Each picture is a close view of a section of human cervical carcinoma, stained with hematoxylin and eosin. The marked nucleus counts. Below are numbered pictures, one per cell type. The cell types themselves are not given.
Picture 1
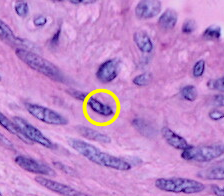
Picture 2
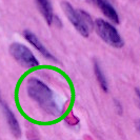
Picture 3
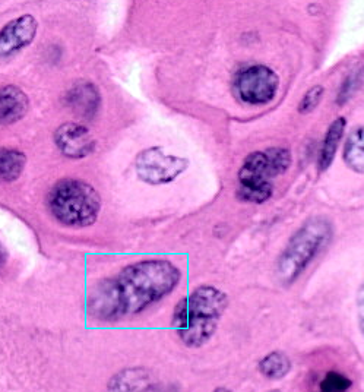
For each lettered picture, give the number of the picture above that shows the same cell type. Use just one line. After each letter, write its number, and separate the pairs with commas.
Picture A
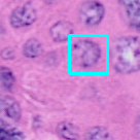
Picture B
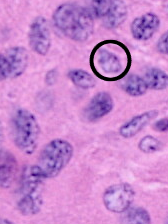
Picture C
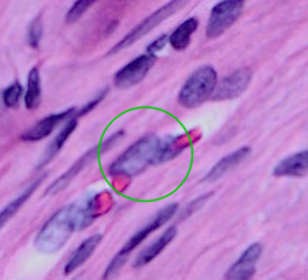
A 3, B 3, C 2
